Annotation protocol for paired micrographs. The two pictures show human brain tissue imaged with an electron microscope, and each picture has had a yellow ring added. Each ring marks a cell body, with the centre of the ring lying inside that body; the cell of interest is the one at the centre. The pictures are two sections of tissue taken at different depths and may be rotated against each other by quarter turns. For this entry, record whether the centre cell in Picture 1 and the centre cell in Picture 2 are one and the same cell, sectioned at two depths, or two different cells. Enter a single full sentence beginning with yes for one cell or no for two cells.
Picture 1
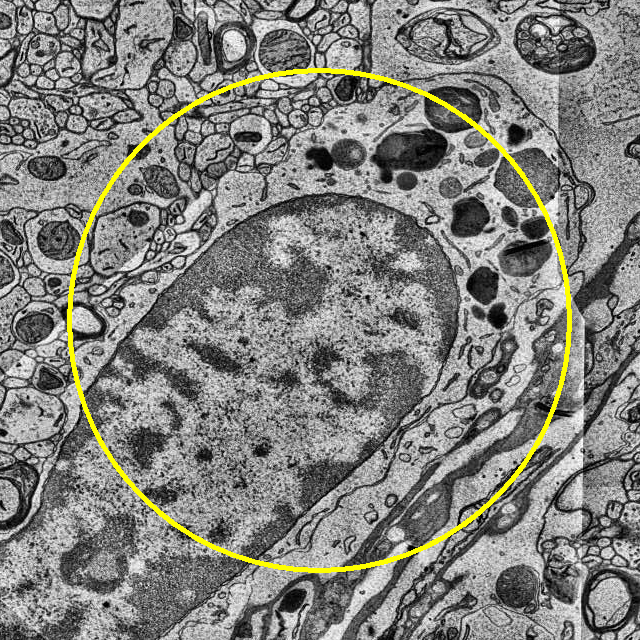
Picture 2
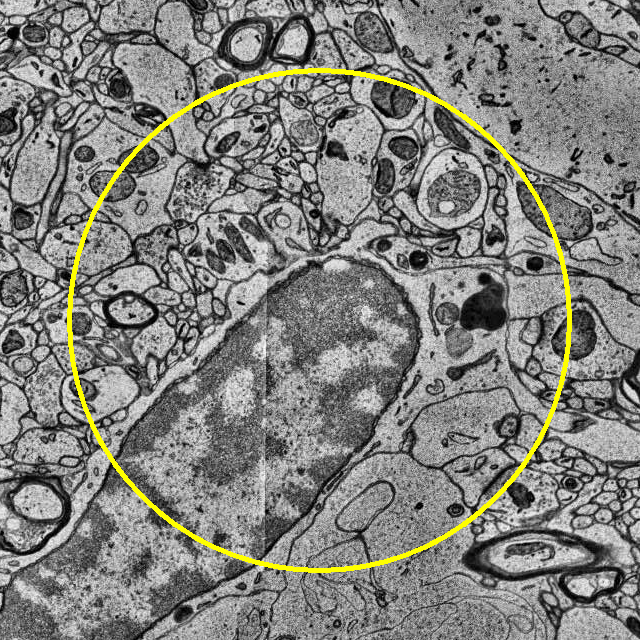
Yes, what the two rings mark is one cell.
